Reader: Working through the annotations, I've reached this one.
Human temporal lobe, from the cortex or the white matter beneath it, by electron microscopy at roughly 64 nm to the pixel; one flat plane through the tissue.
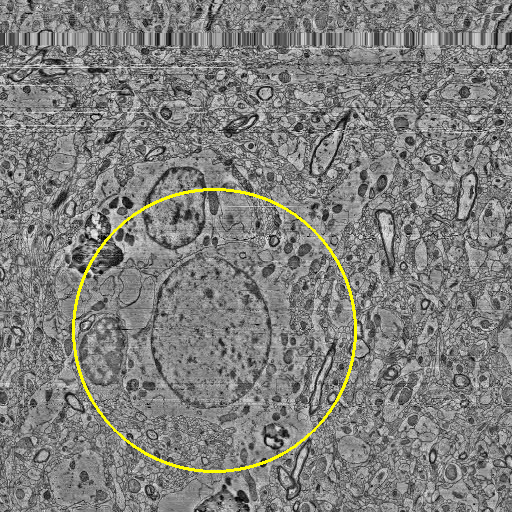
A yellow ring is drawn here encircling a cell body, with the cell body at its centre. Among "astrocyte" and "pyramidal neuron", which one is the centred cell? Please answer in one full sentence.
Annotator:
The cell body at the centre of the yellow ring in this image belongs to an astrocyte.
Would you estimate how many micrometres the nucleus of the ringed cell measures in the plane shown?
Roughly 10 by 8 micrometres is the size of the nucleus in this plane.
